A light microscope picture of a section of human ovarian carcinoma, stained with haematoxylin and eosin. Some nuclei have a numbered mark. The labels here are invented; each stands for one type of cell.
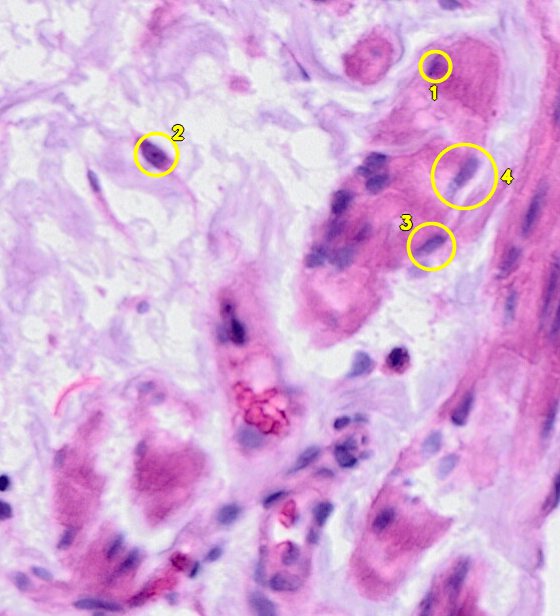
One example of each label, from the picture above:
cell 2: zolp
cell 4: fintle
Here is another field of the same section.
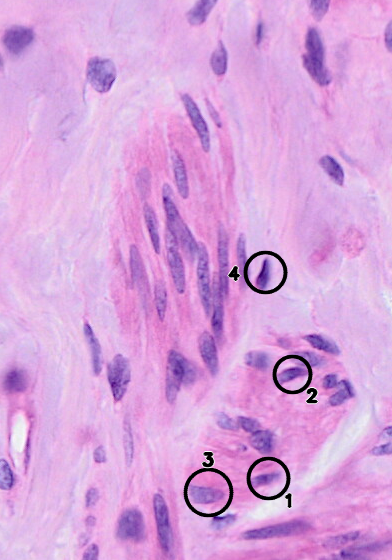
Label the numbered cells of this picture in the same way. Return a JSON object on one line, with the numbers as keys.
{"1": "fintle", "2": "fintle", "3": "fintle", "4": "zolp"}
